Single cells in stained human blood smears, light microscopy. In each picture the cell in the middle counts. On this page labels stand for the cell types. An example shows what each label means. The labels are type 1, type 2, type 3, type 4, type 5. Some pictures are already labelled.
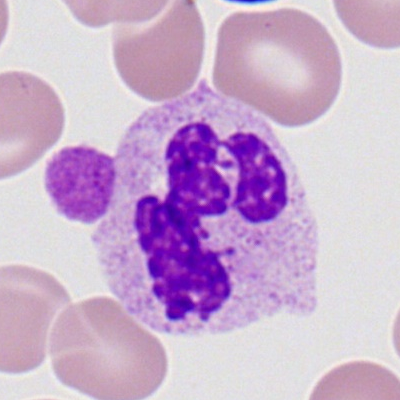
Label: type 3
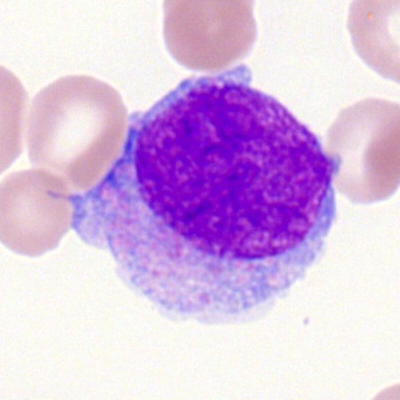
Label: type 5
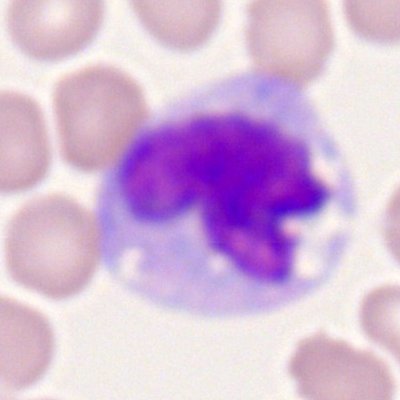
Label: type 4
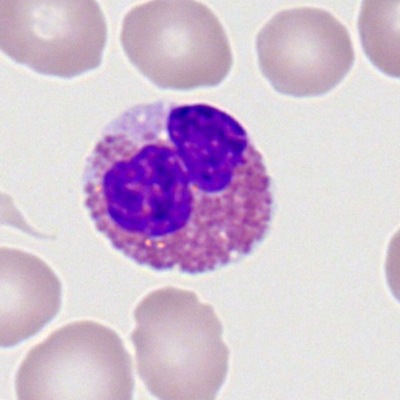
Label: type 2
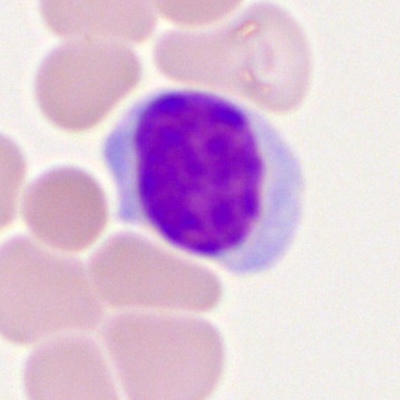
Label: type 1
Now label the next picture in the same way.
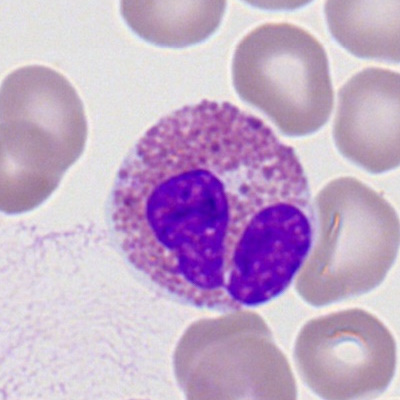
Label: type 2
